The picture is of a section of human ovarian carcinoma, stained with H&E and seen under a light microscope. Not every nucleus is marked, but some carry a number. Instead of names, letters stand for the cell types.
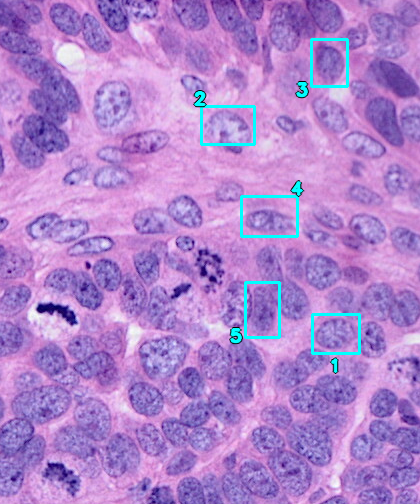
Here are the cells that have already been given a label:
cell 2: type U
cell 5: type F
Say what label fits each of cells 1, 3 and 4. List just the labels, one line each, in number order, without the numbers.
type F
type F
type U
